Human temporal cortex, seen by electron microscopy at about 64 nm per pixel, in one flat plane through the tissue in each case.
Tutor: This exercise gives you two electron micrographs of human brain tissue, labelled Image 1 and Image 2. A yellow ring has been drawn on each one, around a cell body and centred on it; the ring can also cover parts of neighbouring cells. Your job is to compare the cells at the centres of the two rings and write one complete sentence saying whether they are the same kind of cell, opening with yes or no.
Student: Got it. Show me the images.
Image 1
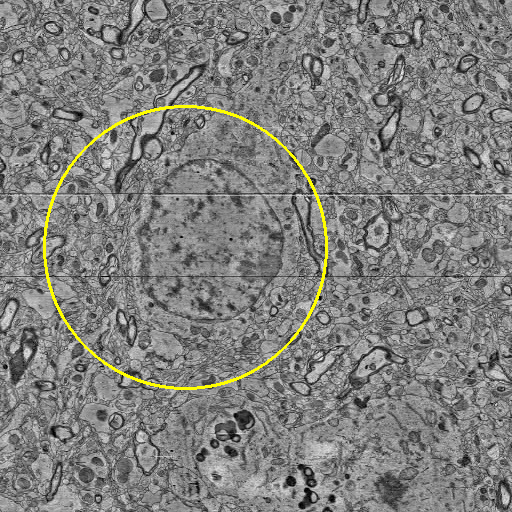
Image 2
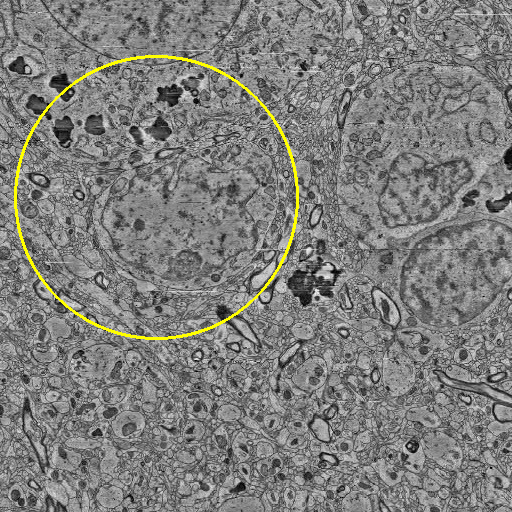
Yes, the two cells belong to the same kind.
